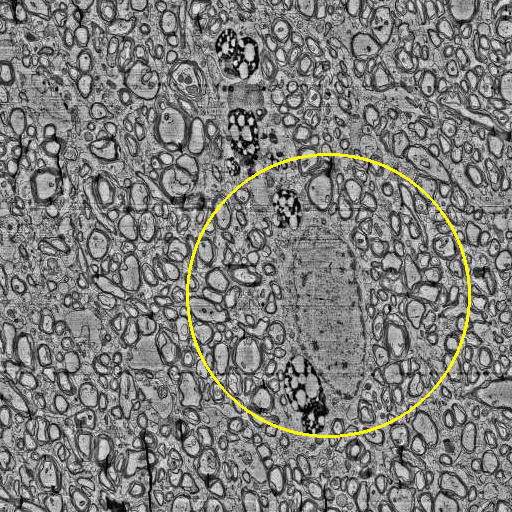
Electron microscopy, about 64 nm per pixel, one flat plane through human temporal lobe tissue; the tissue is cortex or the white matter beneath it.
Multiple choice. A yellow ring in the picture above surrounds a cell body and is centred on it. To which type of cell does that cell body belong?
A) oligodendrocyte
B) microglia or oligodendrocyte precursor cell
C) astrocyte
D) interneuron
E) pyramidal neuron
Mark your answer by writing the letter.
C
